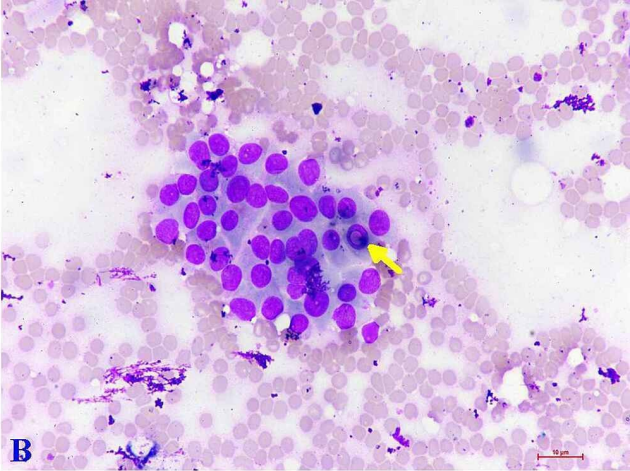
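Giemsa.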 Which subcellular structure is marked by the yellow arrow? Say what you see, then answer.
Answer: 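Intranuclear inclusion. The arrow points to a nucleus containing a round, sharply outlined pale body. The pale body lies within the nucleus, surrounded by a rim of dark chromatin.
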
